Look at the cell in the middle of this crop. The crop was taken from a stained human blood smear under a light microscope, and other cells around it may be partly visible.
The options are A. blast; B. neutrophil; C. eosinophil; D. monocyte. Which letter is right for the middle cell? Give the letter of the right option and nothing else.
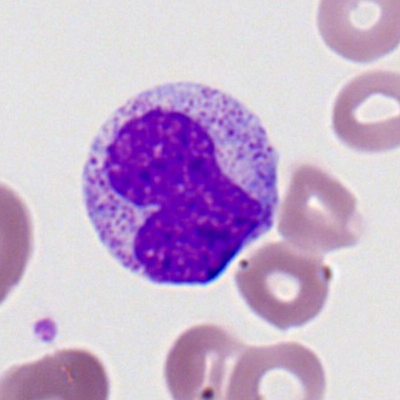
D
